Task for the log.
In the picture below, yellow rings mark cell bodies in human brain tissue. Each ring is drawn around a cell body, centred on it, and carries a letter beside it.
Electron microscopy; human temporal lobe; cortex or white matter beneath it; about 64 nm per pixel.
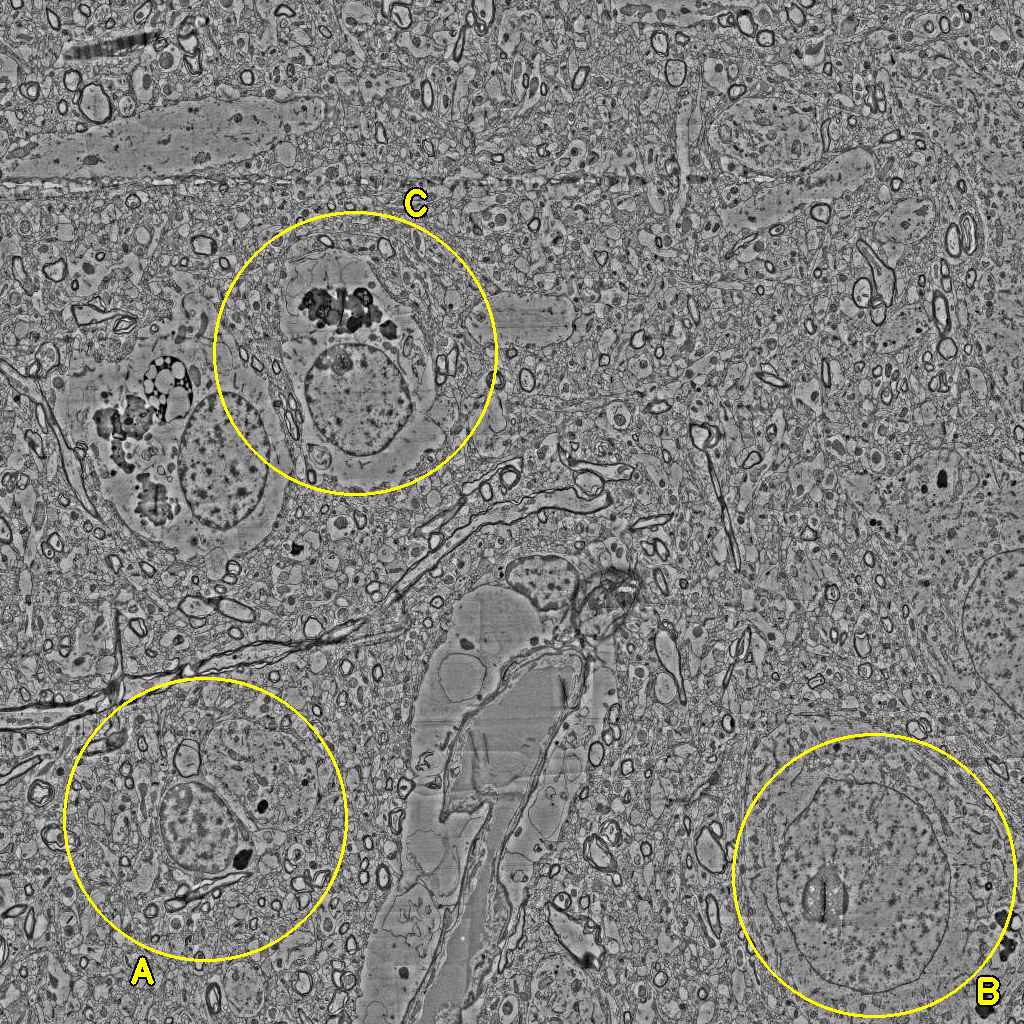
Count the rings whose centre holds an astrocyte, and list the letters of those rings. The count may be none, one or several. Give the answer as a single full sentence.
A single yellow ring is centred on an astrocyte, and that ring has the letter C.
